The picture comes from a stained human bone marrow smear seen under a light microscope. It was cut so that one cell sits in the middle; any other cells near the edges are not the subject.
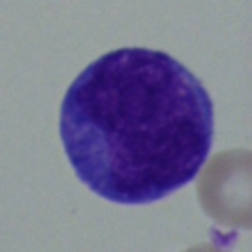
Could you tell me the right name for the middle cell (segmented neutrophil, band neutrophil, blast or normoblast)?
blast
